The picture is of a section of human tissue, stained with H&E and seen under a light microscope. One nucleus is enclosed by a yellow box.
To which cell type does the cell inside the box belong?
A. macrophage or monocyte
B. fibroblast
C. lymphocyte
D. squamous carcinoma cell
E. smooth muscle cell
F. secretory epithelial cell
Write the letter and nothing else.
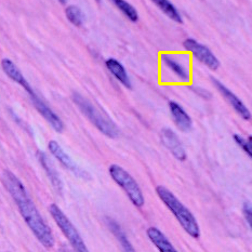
B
